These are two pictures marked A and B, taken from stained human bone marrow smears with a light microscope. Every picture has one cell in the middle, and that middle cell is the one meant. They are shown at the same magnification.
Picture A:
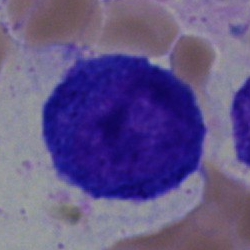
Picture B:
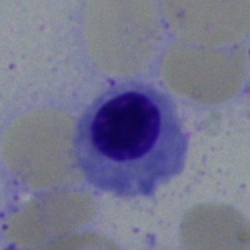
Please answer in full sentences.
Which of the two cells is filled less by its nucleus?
In picture B the nucleus takes up the smaller part of its cell.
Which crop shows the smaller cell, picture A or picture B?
The cell in picture B is smaller; the one in picture A has about 2 times its area.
